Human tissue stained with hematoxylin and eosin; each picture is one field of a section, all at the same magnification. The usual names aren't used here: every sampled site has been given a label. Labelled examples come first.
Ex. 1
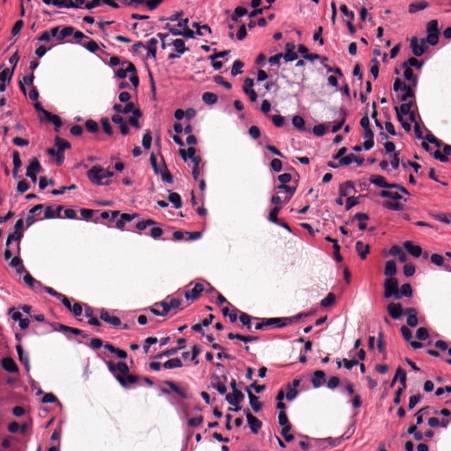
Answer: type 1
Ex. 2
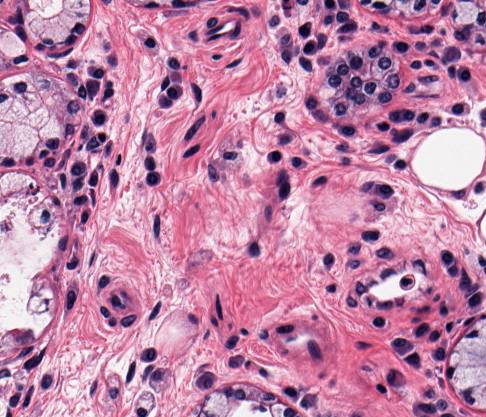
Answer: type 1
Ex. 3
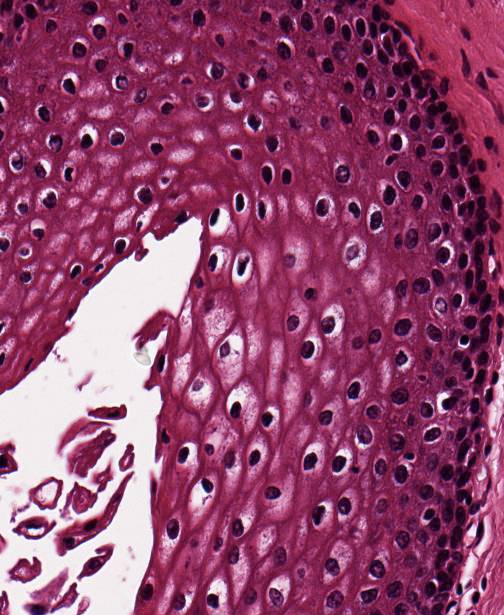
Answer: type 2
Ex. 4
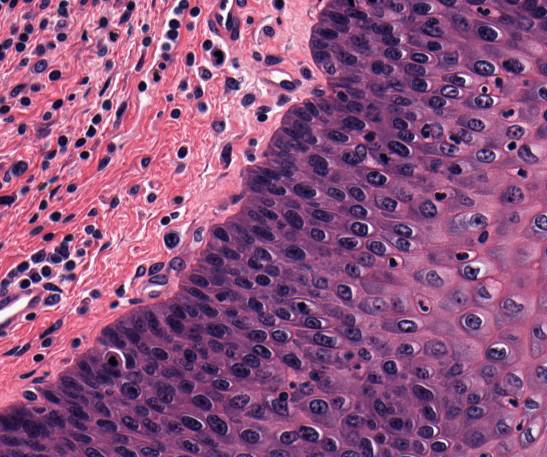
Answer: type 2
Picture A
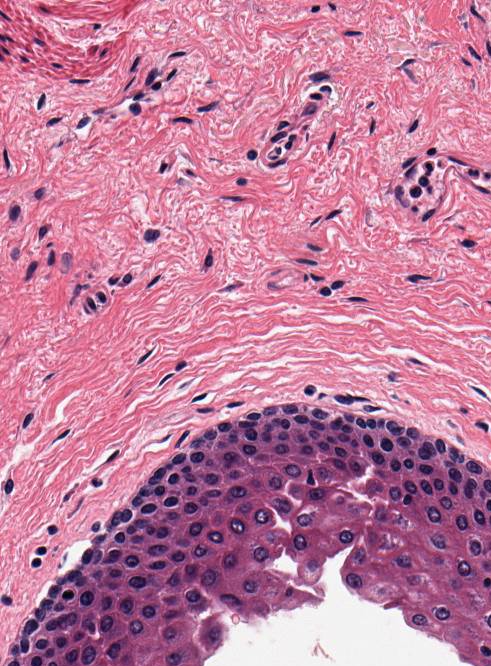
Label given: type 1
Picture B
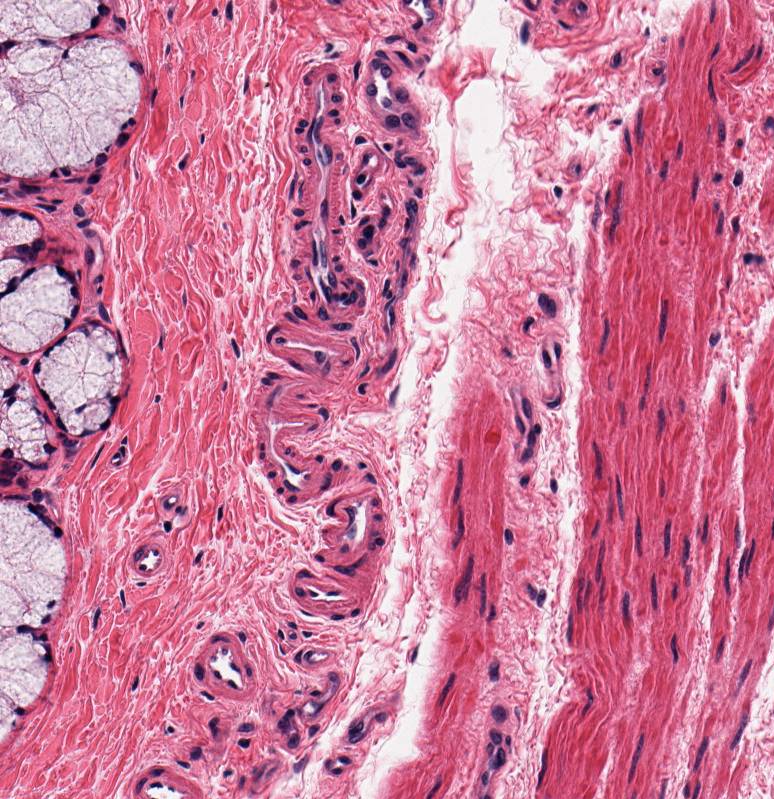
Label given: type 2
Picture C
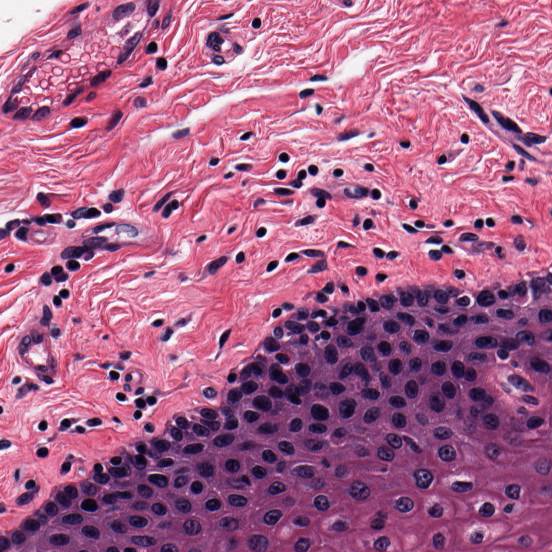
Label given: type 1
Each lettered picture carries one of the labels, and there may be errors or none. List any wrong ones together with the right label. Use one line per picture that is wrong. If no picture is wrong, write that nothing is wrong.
A: type 2, not type 1
C: type 2, not type 1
